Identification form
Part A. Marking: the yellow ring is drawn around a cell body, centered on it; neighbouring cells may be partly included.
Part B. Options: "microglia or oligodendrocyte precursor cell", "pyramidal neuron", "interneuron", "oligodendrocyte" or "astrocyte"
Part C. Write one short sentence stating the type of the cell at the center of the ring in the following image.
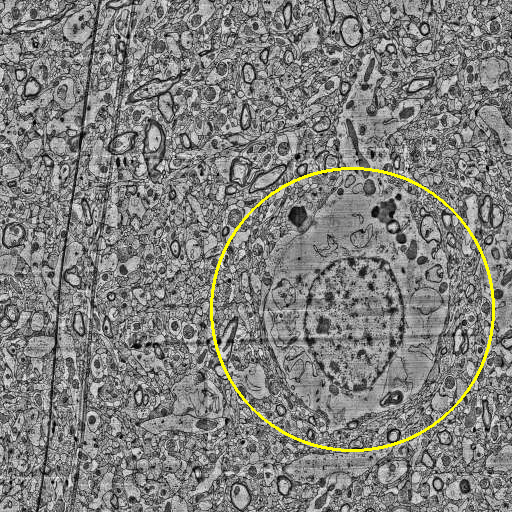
The center of the ring holds an astrocyte.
